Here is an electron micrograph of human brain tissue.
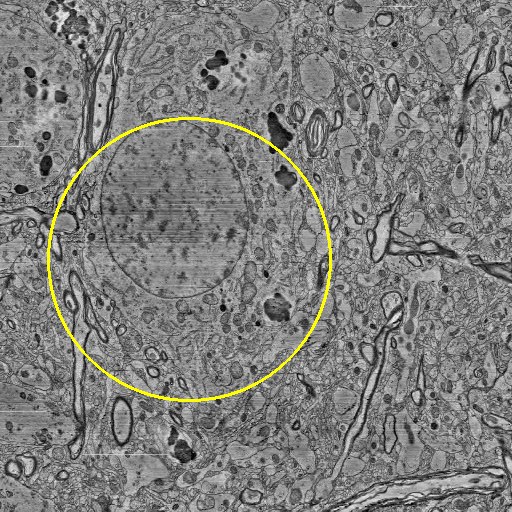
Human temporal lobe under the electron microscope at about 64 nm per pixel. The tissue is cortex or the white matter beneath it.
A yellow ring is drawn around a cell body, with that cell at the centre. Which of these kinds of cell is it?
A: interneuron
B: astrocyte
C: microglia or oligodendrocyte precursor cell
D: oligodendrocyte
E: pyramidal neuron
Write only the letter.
A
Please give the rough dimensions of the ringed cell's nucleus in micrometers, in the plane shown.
The nucleus is approximately 12 micrometers long by 10 micrometers wide in this plane.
